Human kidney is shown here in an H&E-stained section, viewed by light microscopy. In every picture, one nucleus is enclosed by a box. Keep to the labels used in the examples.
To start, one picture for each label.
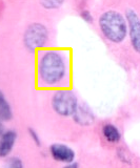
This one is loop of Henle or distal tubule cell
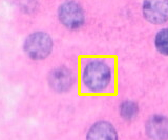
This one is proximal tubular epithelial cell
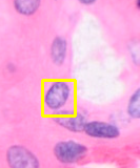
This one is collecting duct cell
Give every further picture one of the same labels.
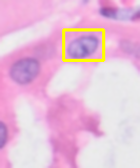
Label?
proximal tubular epithelial cell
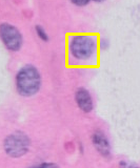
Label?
loop of Henle or distal tubule cell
